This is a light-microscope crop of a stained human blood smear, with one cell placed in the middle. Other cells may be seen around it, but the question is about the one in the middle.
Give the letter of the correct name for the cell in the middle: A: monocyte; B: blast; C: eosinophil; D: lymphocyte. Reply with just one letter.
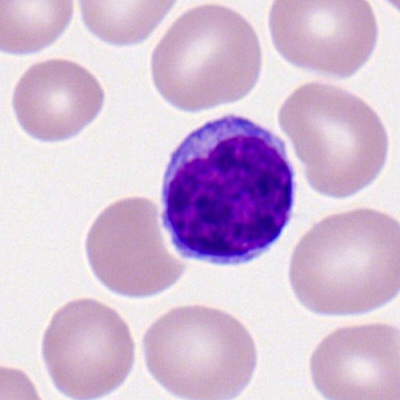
D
